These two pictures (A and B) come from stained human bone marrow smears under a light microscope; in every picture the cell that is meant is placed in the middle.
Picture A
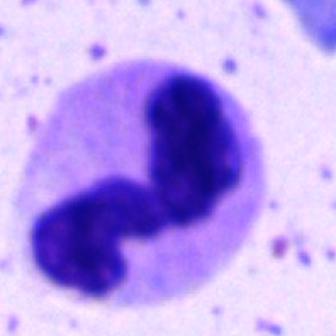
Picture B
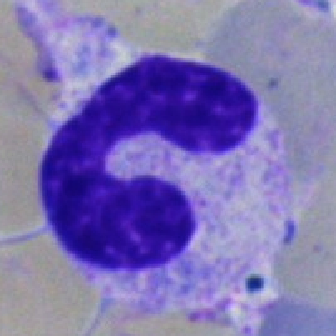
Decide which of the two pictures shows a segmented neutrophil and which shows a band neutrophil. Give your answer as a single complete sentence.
Picture A shows a segmented neutrophil and picture B shows a band neutrophil.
